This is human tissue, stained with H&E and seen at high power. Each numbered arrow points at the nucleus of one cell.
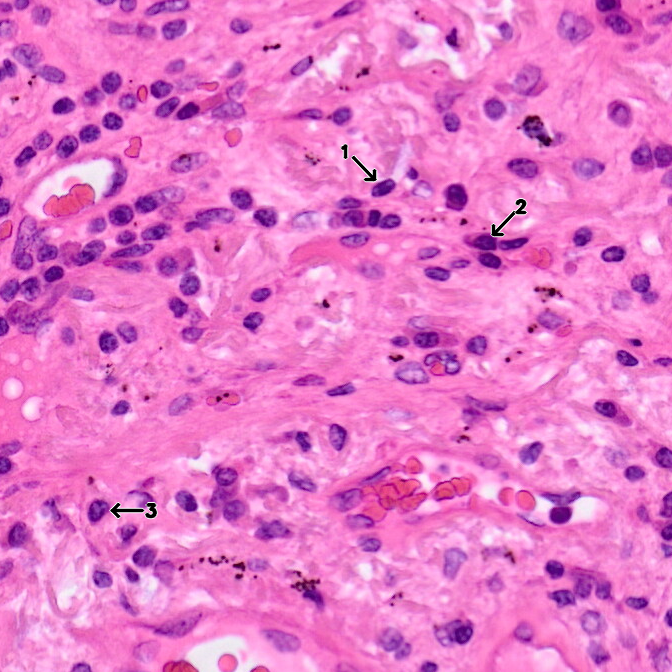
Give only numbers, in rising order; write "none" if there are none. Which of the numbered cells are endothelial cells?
none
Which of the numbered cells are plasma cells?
2, 3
